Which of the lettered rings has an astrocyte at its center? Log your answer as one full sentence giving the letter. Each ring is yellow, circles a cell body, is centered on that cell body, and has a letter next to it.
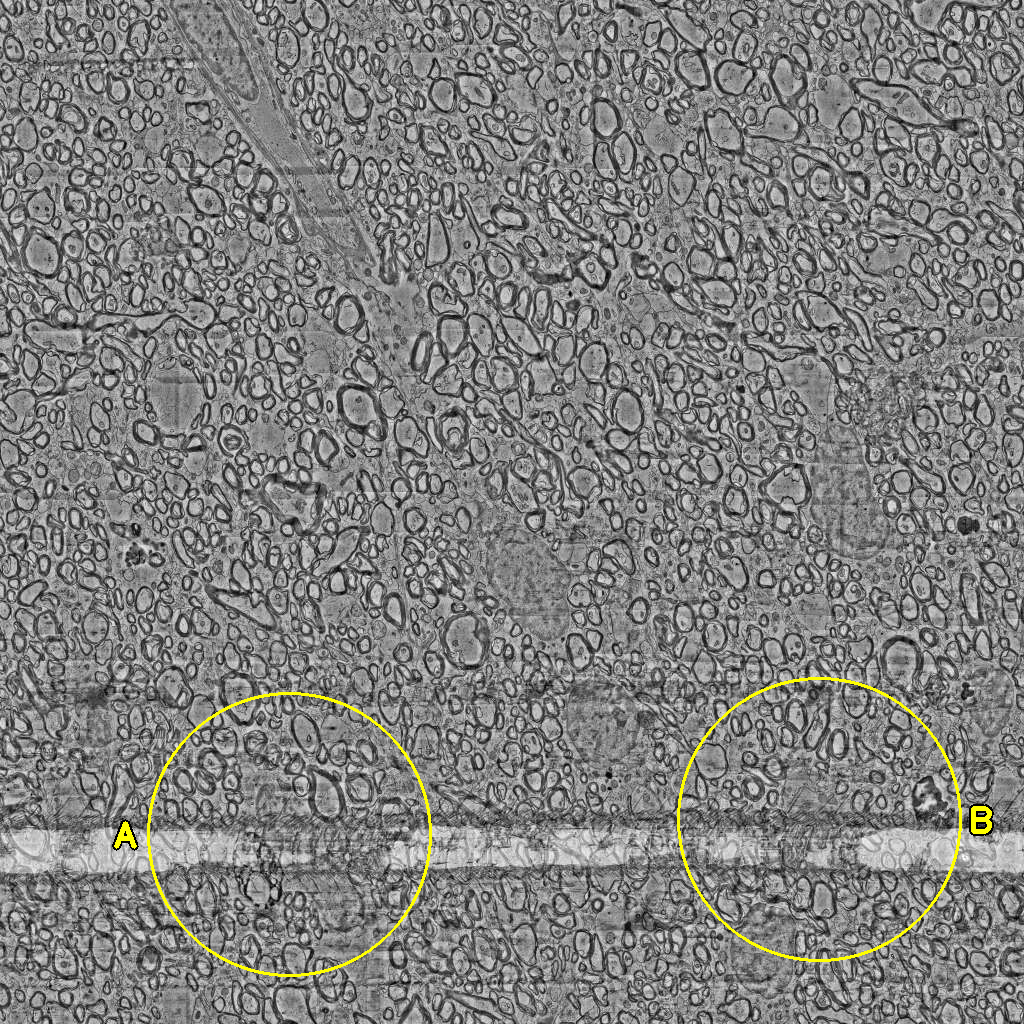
The lettered ring centered on the cell asked for is ring A.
